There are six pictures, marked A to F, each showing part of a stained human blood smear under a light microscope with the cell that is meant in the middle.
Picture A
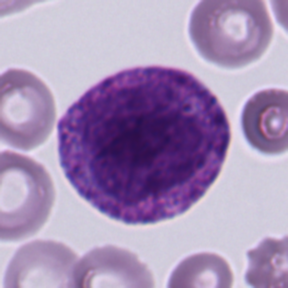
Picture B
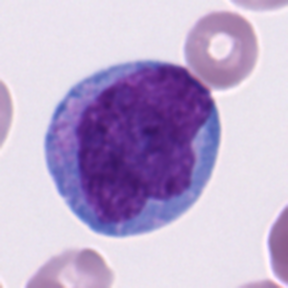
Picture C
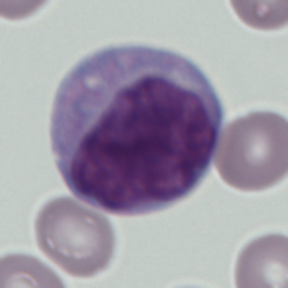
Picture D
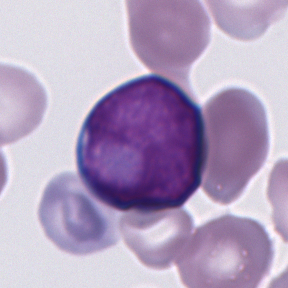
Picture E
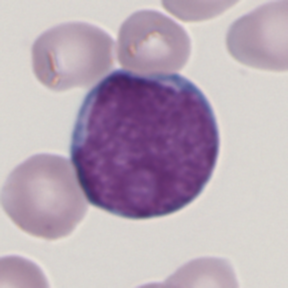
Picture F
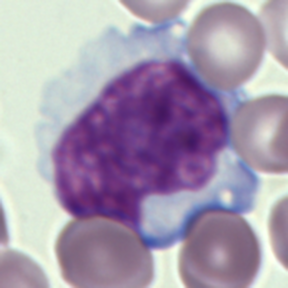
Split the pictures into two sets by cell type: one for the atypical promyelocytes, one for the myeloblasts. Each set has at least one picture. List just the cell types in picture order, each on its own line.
atypical promyelocyte
atypical promyelocyte
atypical promyelocyte
myeloblast
myeloblast
myeloblast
